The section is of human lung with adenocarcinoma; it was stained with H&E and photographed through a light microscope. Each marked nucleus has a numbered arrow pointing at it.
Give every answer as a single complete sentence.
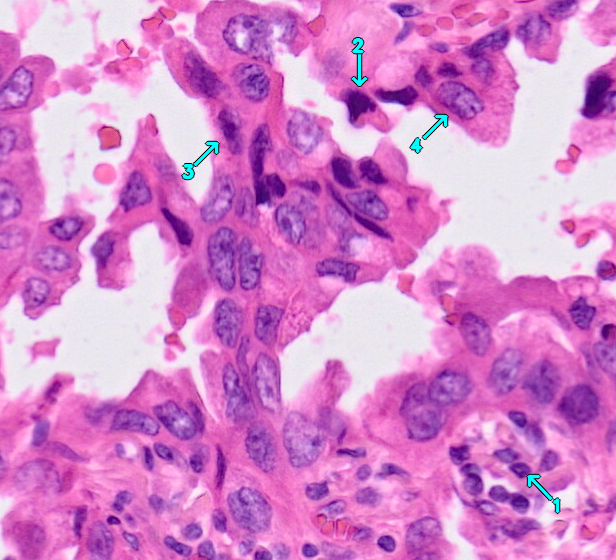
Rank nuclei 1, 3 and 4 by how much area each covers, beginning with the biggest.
Going from the biggest nucleus down to the smallest gives 4, 3, 1.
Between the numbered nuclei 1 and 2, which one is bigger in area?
Nucleus 2 is the larger one, covering about 3 times the area of nucleus 1.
